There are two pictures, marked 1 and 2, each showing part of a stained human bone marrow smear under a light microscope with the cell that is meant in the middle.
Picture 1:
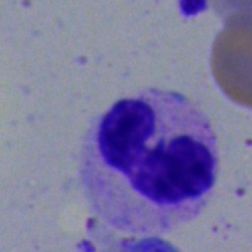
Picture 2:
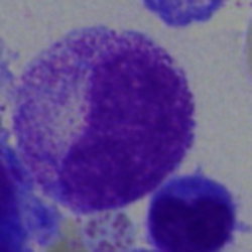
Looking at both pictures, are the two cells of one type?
no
